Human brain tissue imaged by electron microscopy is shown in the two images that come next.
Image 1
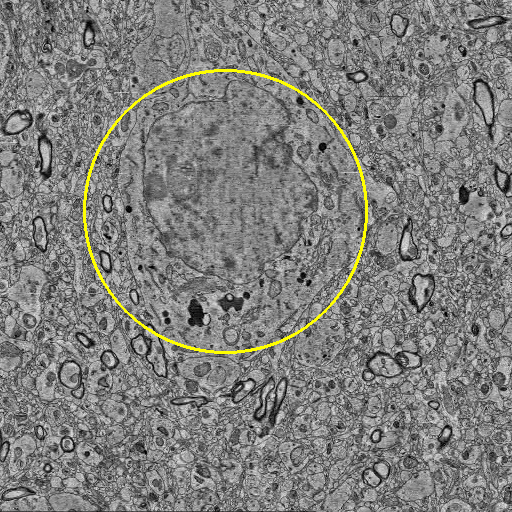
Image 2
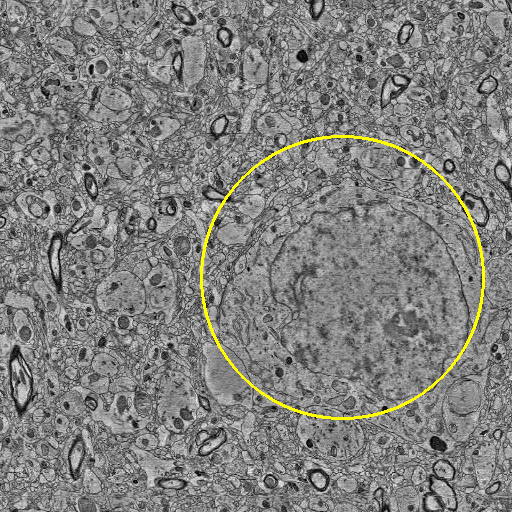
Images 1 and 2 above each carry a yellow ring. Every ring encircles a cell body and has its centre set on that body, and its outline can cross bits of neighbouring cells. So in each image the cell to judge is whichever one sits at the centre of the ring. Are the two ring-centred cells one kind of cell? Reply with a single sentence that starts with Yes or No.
Yes, in Image 1 and Image 2 the cells at the centres of their rings fall into one type.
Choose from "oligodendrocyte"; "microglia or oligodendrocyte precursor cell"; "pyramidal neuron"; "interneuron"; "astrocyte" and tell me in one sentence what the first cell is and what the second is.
Each of the two pictures has an interneuron at the ring centre.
